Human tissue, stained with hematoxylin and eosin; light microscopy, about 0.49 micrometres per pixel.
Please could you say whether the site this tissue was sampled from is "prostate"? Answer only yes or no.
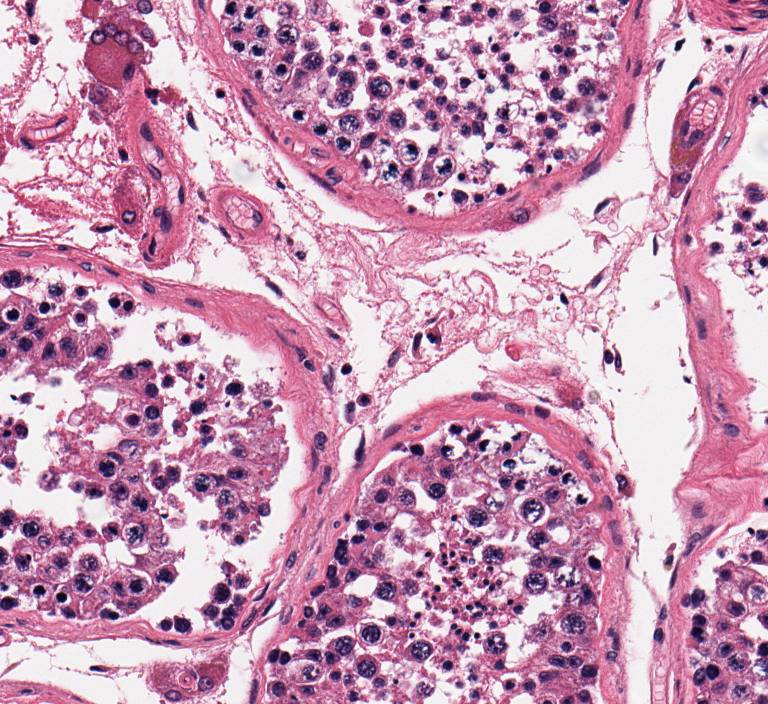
no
